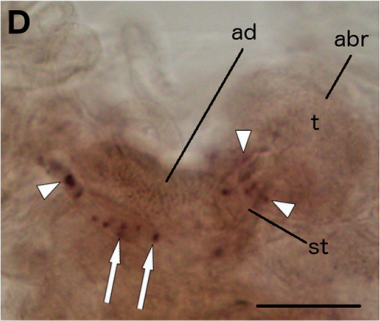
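This close view of the front of a larva shows the attachment complex, a rounded central disk flanked by projecting brachia. The central disk has a finely textured surface and a slightly darker rim. Small dark purple dot-like cells lie in rows along the lower edge of the disk. Other dark dots sit in the stems at the bases of the brachia, while their rounded tips are pale.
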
